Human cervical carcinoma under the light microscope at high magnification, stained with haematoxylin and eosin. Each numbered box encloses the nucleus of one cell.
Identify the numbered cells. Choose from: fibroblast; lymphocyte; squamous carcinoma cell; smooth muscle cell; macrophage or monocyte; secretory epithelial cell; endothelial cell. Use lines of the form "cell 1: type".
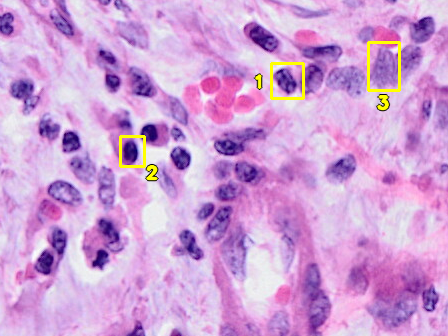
cell 1: lymphocyte
cell 2: lymphocyte
cell 3: endothelial cell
